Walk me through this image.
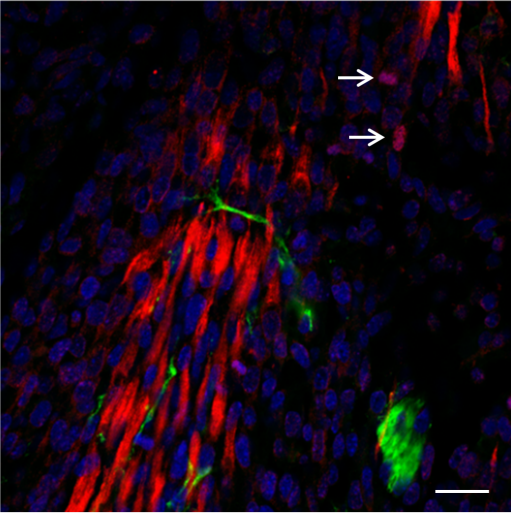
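Oval blue nuclei lie along and between them. Thin green threads run through and along the bundle, and a compact green cluster lies beside it toward the lower right. Around the bundle are closely packed cells with oval nuclei, a few of which carry a pinkish tint, and further thin red cells lie scattered toward the top right.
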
